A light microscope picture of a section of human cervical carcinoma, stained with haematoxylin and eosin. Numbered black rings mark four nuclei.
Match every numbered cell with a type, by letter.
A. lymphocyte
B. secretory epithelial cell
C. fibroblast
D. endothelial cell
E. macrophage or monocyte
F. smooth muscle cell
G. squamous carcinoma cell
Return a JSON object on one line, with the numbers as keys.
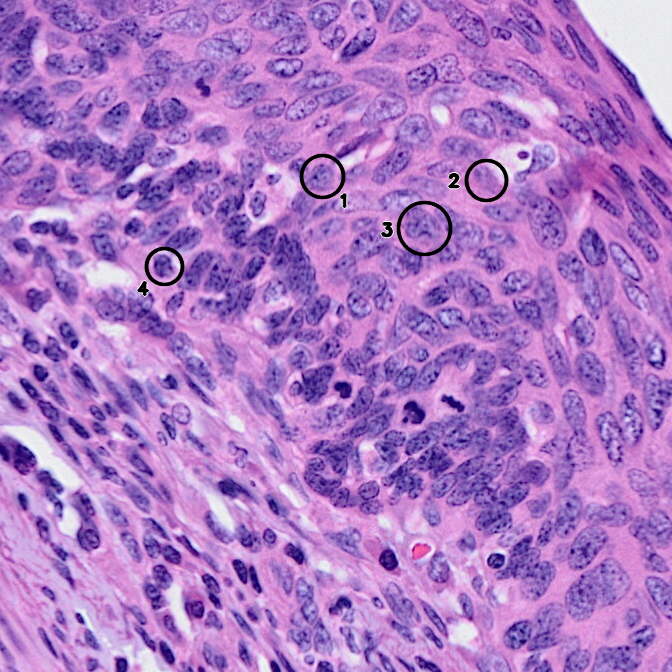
{"1": "G", "2": "G", "3": "G", "4": "A"}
